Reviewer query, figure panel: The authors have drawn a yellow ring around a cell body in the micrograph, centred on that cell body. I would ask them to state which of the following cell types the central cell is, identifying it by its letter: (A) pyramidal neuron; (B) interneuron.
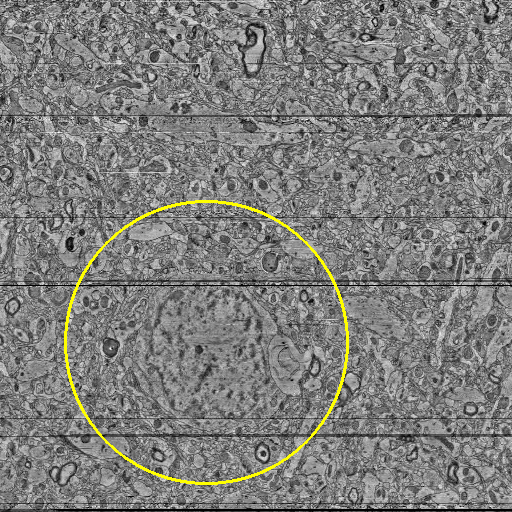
B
